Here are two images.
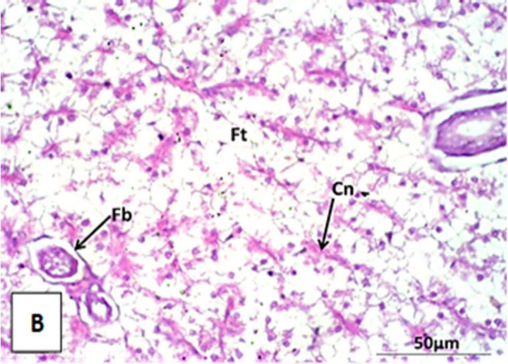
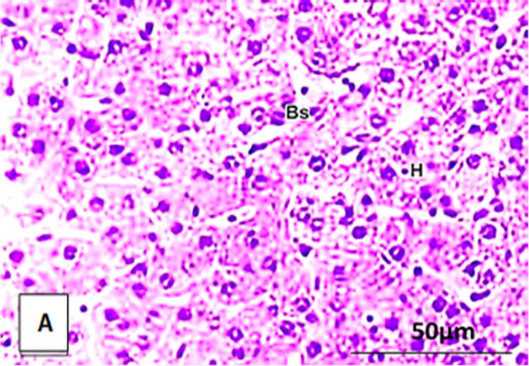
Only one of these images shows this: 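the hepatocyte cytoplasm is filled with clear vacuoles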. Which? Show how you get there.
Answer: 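The first image. First image: most of the tissue is clear vacuoles with thin pink strands between.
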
